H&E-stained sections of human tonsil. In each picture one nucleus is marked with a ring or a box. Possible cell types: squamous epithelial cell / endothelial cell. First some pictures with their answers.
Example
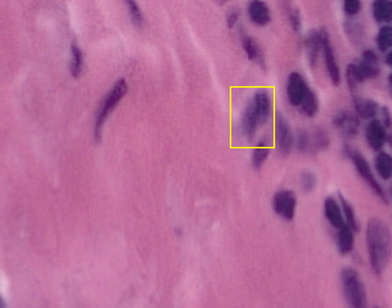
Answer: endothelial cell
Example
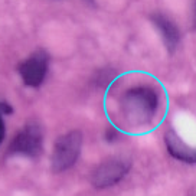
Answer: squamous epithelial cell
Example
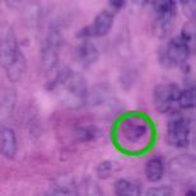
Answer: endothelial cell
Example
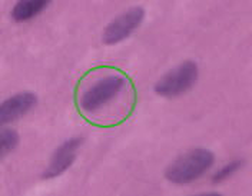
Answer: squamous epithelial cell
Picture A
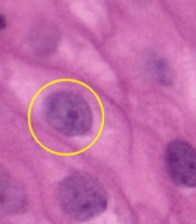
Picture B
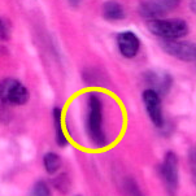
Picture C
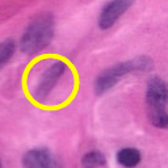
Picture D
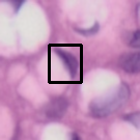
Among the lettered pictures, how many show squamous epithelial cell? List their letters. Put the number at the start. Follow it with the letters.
2: A, D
